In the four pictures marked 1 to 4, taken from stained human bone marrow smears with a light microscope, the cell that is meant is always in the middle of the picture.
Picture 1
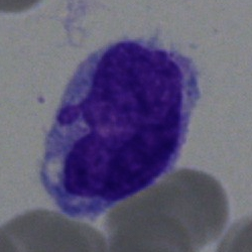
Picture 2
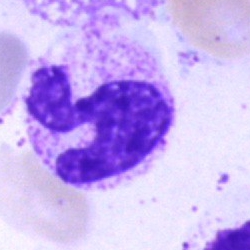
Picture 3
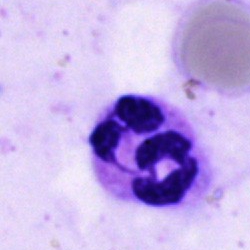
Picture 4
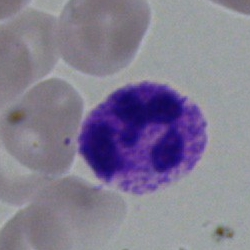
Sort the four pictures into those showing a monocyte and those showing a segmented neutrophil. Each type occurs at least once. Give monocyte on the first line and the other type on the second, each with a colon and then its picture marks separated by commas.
monocyte: 1
segmented neutrophil: 2, 3, 4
